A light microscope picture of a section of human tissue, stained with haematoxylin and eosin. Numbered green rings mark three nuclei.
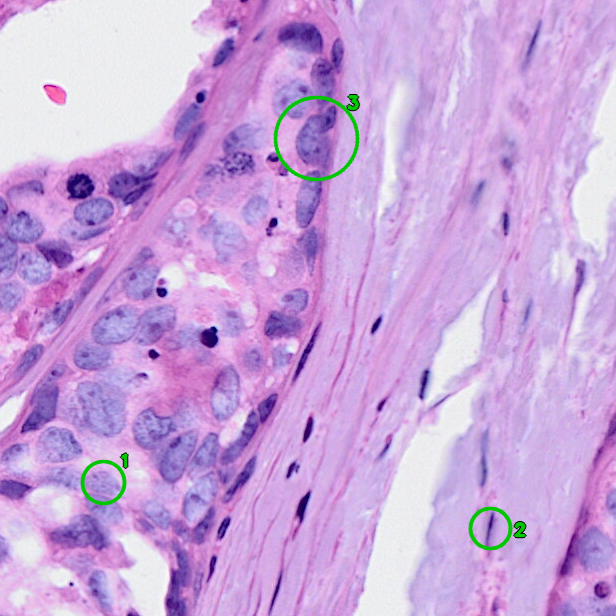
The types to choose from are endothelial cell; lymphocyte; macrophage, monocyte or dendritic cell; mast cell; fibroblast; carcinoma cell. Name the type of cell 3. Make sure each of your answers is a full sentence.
Denoted by the label 3 in the section is a carcinoma cell.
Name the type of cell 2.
The cell numbered 2 represents a fibroblast.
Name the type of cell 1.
The cell marked with number 1 is a carcinoma cell.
